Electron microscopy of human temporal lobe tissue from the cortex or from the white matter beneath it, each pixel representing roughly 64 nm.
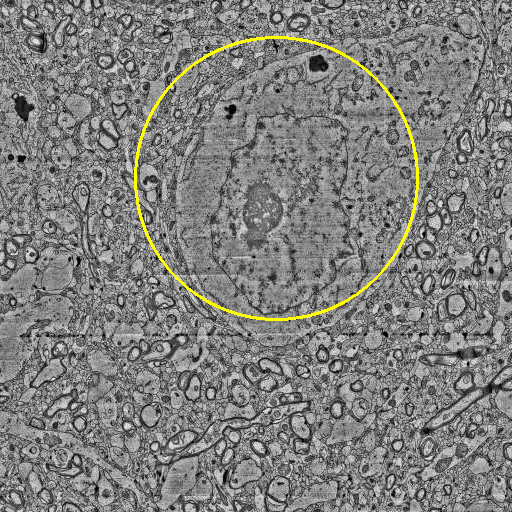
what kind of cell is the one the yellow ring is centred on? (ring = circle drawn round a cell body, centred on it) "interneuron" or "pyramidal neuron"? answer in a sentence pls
The ring is drawn around a pyramidal neuron.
